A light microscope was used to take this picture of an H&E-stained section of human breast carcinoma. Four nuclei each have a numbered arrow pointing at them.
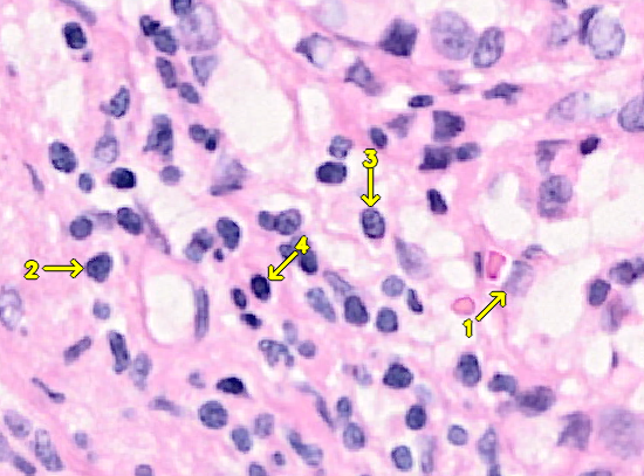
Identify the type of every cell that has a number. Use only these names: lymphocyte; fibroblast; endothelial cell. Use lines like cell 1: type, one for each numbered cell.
cell 1: endothelial cell
cell 2: lymphocyte
cell 3: lymphocyte
cell 4: lymphocyte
